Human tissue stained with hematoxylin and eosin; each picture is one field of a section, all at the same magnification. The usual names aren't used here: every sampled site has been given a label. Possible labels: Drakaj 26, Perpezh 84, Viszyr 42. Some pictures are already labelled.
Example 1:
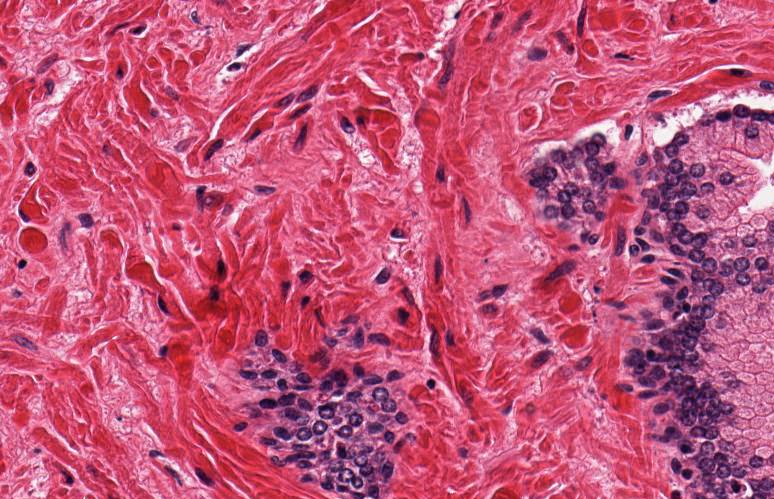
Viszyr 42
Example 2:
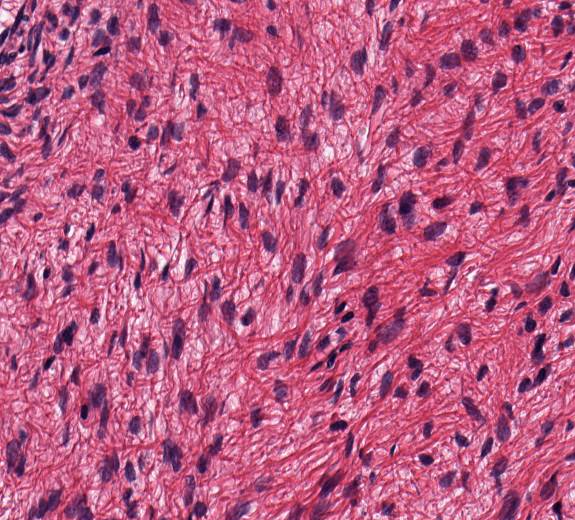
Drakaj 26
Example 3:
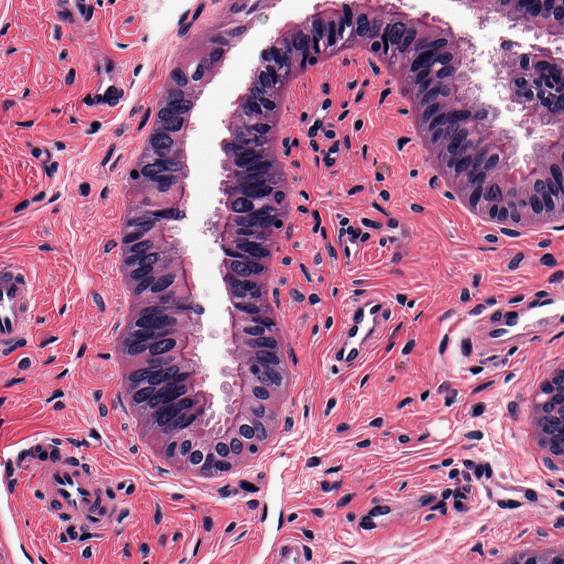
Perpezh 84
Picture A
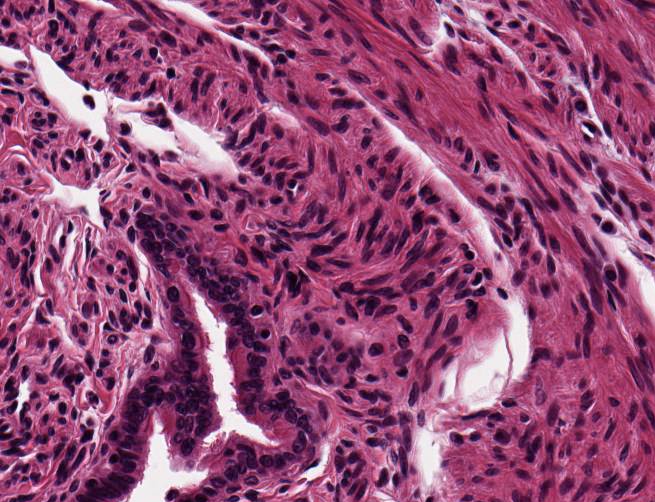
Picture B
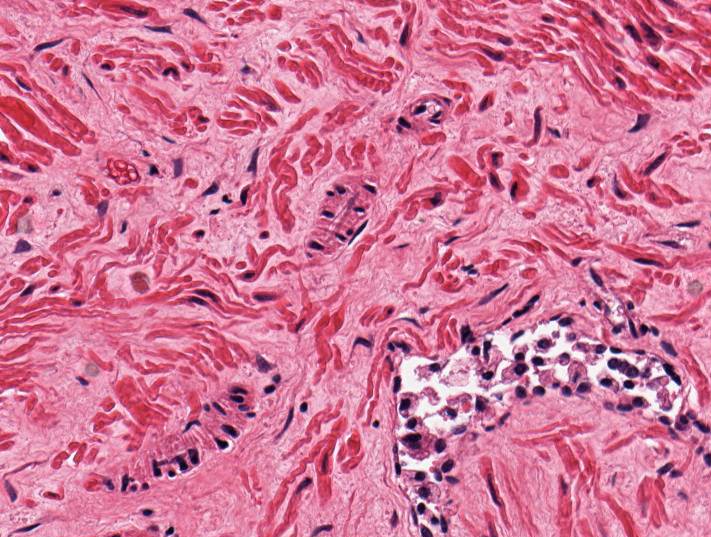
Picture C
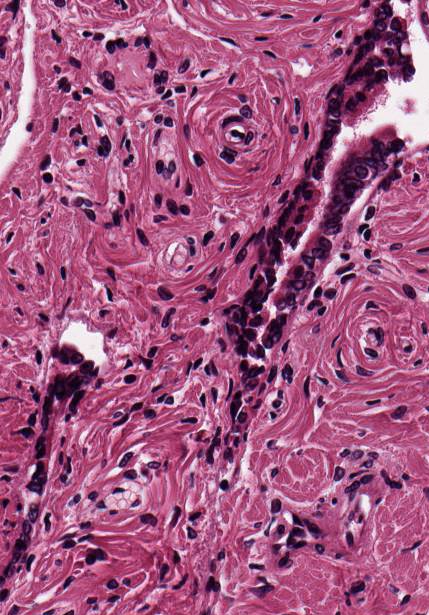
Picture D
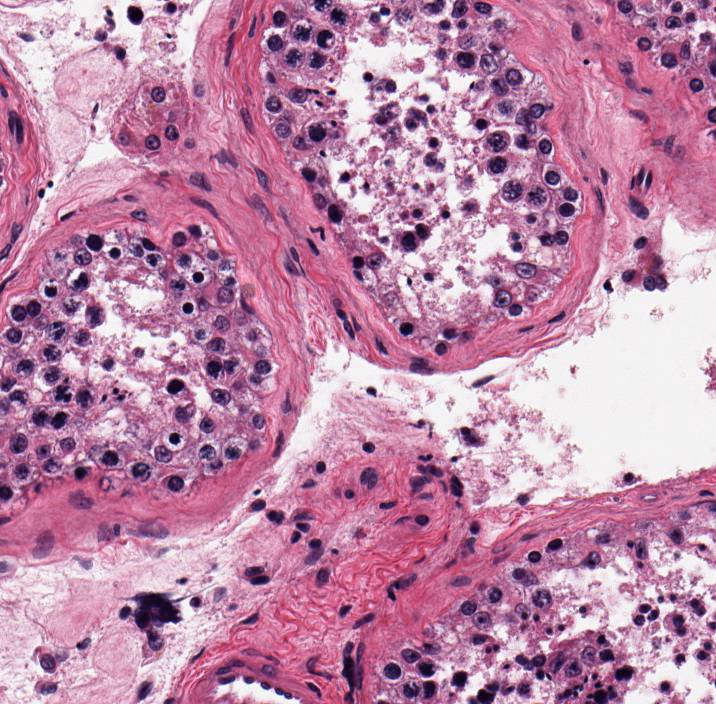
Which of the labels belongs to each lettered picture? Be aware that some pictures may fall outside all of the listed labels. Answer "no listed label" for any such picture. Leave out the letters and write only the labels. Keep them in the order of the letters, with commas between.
Perpezh 84, Viszyr 42, Perpezh 84, no listed label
